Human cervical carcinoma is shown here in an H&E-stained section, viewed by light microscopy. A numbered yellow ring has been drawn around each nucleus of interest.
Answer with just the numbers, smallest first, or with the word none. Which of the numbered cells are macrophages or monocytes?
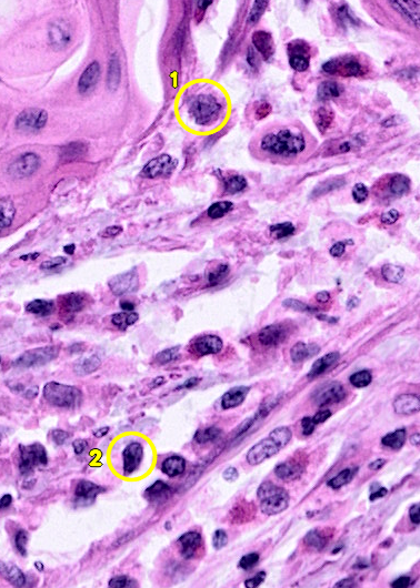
1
